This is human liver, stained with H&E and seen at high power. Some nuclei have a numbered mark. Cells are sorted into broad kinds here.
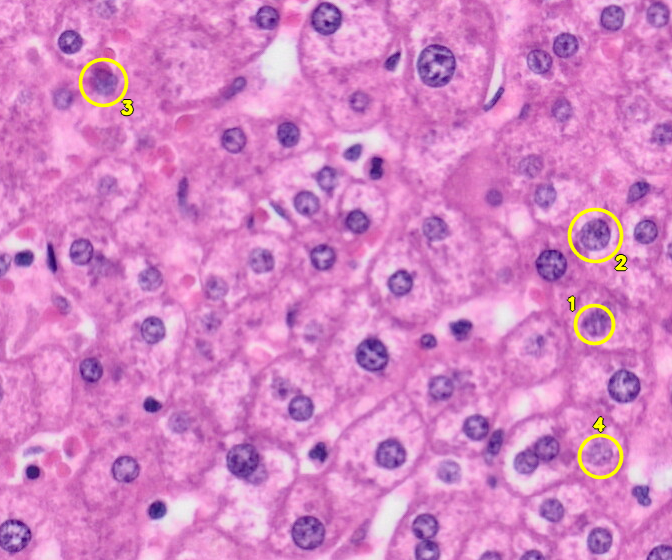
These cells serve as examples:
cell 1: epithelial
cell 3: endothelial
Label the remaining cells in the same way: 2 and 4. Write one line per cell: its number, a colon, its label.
2: epithelial
4: epithelial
